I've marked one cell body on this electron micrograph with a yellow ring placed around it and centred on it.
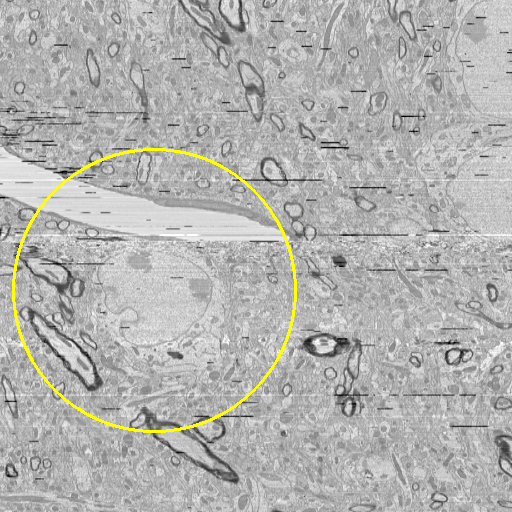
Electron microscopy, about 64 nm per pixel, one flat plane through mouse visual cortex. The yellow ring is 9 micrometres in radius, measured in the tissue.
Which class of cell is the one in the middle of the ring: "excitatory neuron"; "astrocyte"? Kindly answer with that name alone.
excitatory neuron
